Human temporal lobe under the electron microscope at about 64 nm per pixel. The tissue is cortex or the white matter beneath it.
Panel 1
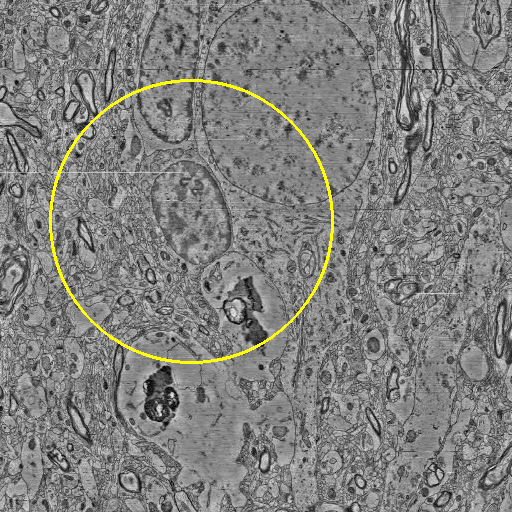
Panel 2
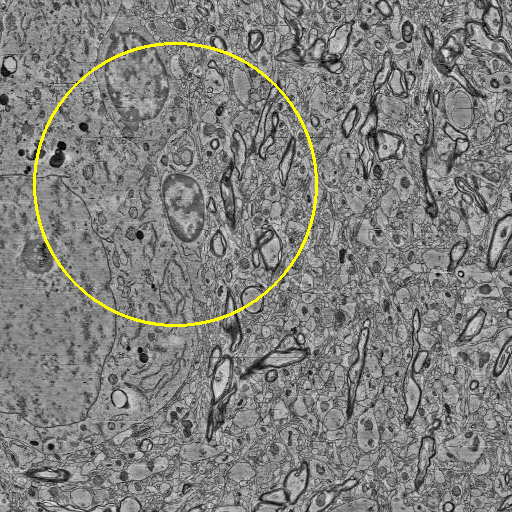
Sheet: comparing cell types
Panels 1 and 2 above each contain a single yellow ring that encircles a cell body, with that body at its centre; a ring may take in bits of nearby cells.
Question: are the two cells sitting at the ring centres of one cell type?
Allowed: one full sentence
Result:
No, the ring-centre cells in Panel 1 and Panel 2 are of two types.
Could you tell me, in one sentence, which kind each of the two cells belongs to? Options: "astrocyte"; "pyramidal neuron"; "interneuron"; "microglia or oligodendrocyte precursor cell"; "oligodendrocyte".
At the centre of the first ring sits an oligodendrocyte, and at the centre of the second sits a microglial cell or oligodendrocyte precursor cell.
